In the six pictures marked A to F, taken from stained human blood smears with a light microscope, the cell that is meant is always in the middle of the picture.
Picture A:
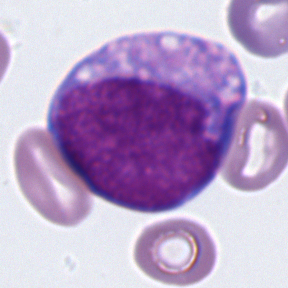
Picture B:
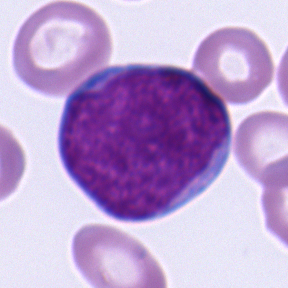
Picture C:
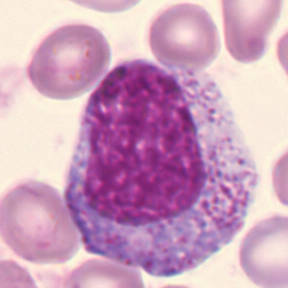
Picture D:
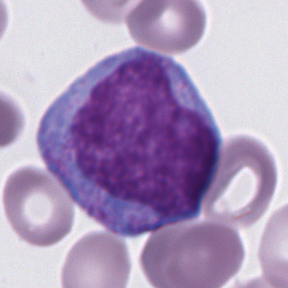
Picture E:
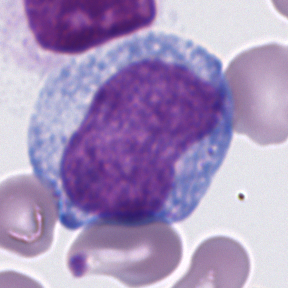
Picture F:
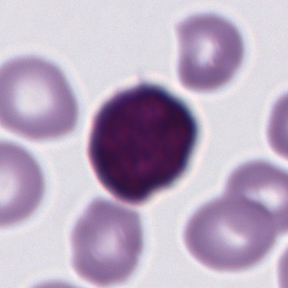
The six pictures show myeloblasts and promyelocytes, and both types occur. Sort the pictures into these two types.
A: promyelocyte
B: myeloblast
C: promyelocyte
D: promyelocyte
E: promyelocyte
F: myeloblast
